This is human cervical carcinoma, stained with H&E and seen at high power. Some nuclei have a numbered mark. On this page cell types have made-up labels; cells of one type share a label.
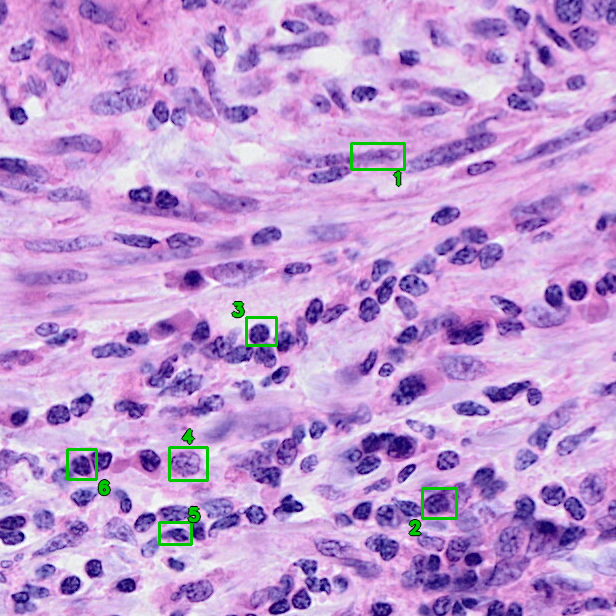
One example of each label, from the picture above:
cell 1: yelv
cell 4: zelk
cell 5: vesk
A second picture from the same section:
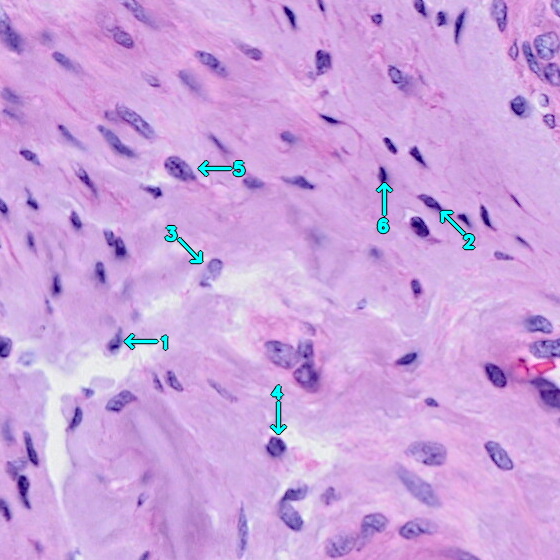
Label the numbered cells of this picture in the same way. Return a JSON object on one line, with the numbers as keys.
{"1": "yelv", "2": "yelv", "3": "yelv", "4": "vesk", "5": "zelk", "6": "yelv"}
